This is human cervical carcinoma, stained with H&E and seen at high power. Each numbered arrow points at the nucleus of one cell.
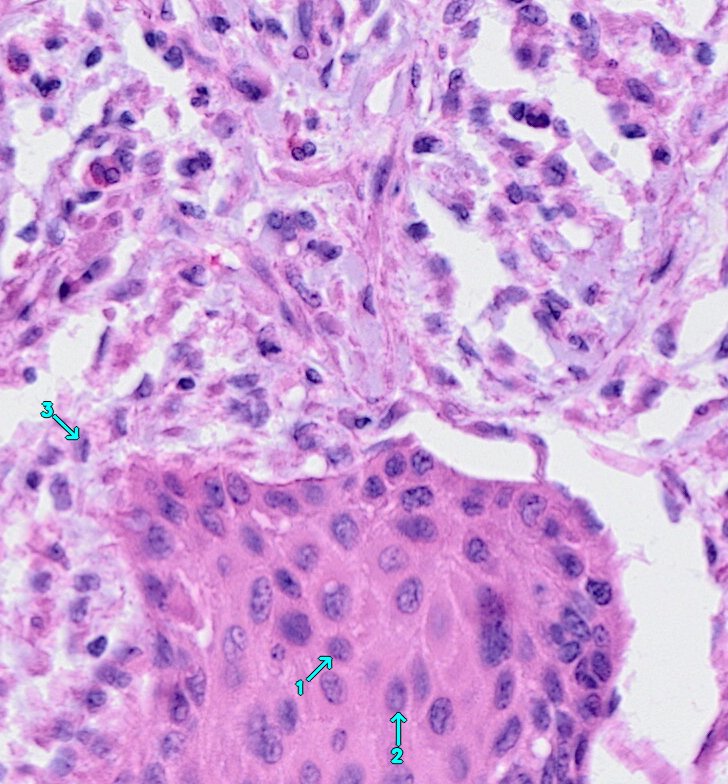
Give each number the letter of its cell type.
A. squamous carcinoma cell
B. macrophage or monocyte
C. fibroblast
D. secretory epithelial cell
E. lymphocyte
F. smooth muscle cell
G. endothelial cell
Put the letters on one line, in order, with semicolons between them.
A; A; C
